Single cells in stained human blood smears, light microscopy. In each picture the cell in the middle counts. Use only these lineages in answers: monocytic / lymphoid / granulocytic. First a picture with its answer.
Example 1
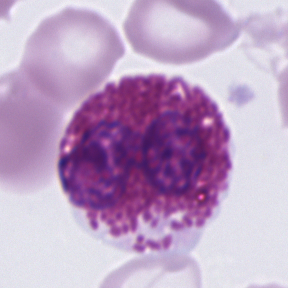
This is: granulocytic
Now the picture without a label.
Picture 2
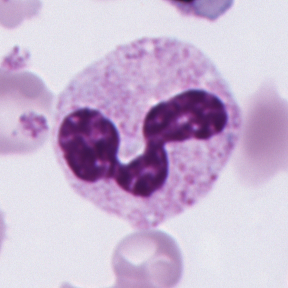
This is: granulocytic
